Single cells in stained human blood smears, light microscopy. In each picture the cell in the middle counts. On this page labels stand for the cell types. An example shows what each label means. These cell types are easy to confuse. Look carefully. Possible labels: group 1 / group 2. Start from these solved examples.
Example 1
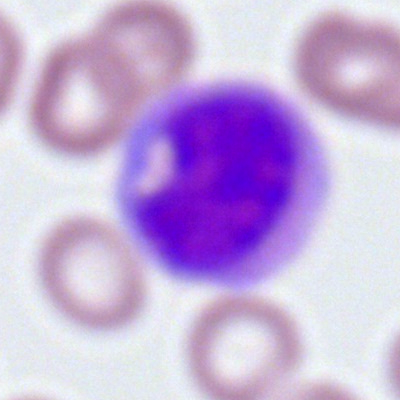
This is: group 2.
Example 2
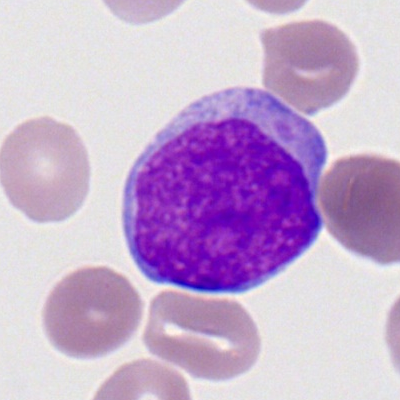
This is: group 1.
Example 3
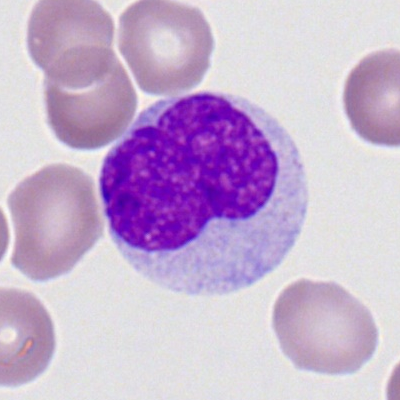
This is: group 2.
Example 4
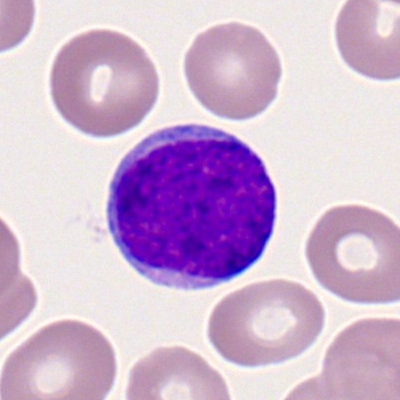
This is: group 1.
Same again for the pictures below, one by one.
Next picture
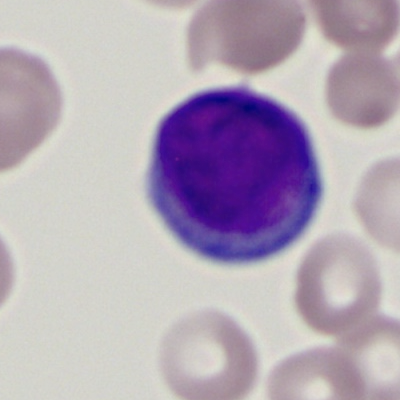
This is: group 1.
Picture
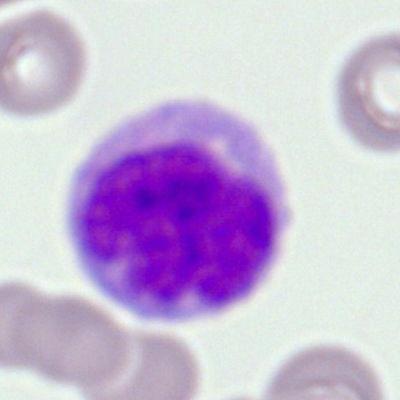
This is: group 2.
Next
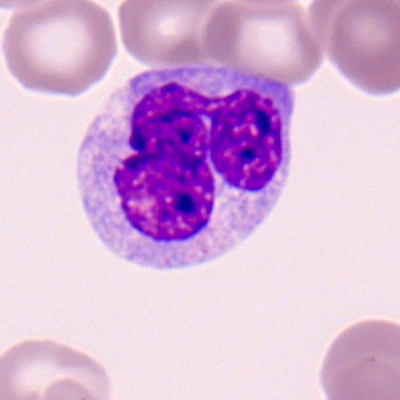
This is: group 2.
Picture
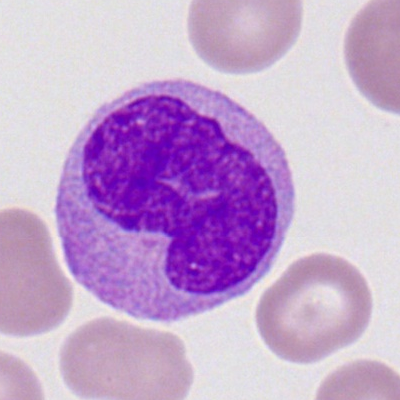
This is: group 2.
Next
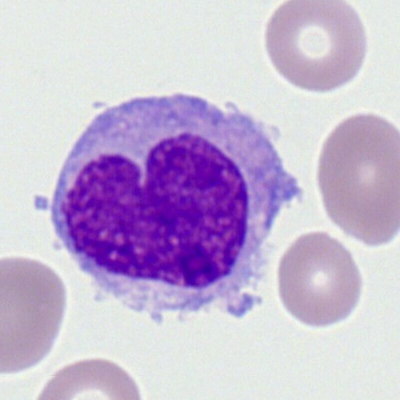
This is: group 2.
